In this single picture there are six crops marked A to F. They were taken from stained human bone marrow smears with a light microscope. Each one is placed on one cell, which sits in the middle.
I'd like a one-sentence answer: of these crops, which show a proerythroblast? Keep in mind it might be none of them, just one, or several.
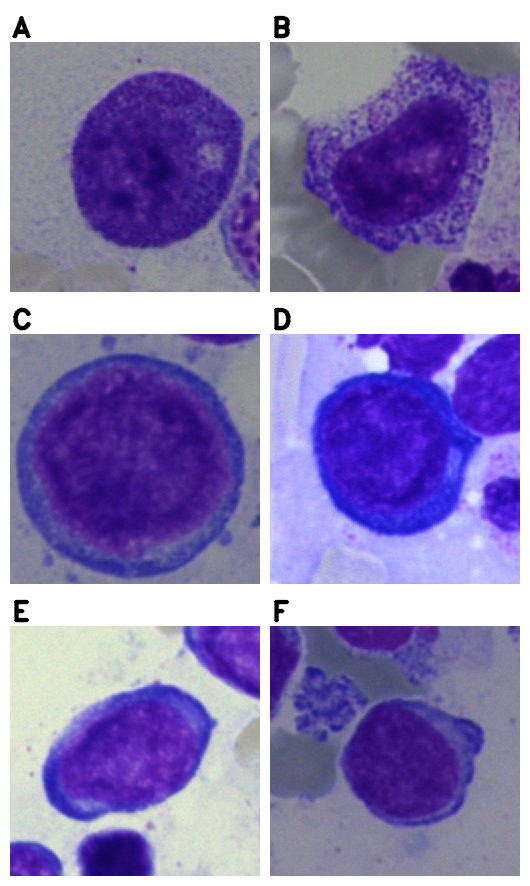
Of the crops given, crops C, D and E show proerythroblasts.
